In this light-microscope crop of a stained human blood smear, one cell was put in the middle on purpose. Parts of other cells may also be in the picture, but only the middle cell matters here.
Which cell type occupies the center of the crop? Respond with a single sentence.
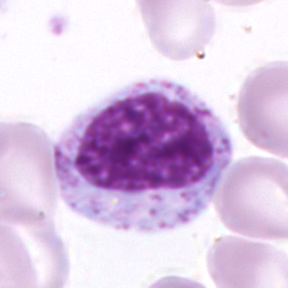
In the centre of this crop there is a metamyelocyte.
